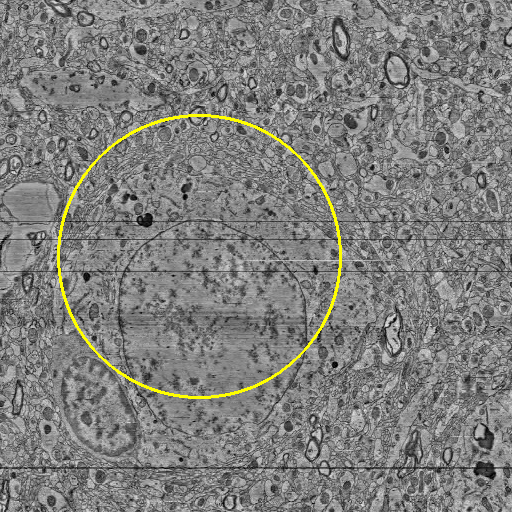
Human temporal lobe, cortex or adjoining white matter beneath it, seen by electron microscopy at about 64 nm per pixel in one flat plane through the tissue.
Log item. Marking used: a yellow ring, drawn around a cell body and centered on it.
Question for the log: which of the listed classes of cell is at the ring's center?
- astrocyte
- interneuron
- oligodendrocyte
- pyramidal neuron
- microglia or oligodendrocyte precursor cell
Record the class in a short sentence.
At the center of the ring lies a pyramidal neuron.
